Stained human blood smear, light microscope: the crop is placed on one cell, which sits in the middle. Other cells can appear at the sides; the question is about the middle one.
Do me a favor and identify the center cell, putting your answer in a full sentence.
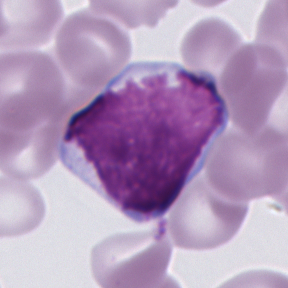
The cell marked by its central position in the crop is a large granular lymphocyte.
